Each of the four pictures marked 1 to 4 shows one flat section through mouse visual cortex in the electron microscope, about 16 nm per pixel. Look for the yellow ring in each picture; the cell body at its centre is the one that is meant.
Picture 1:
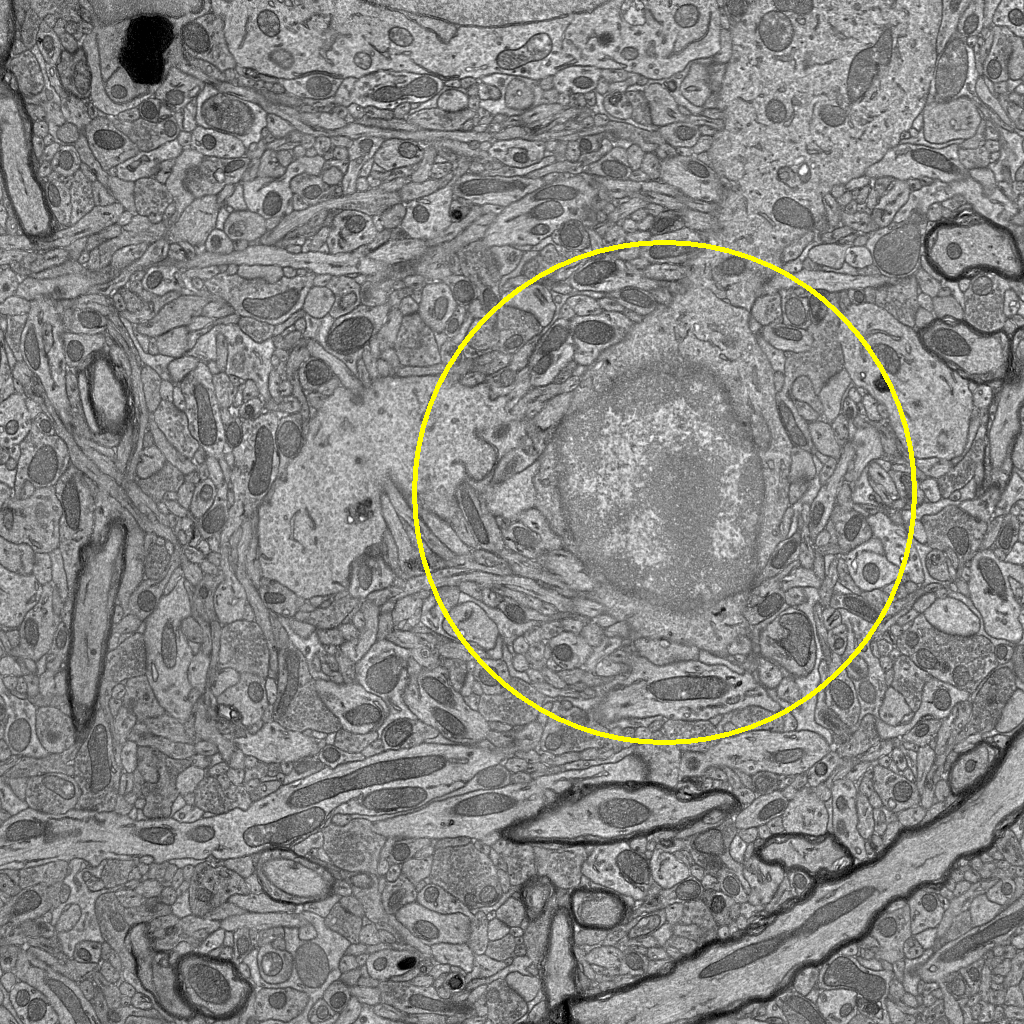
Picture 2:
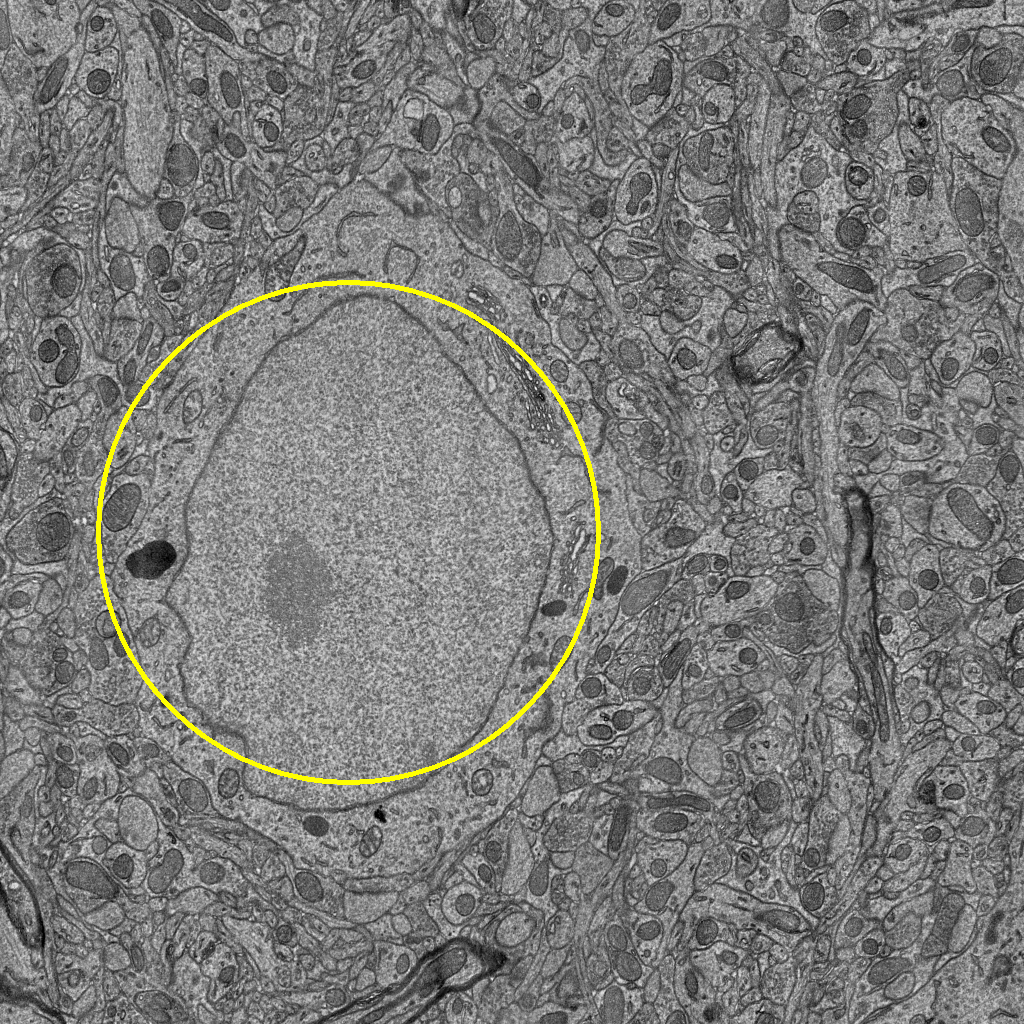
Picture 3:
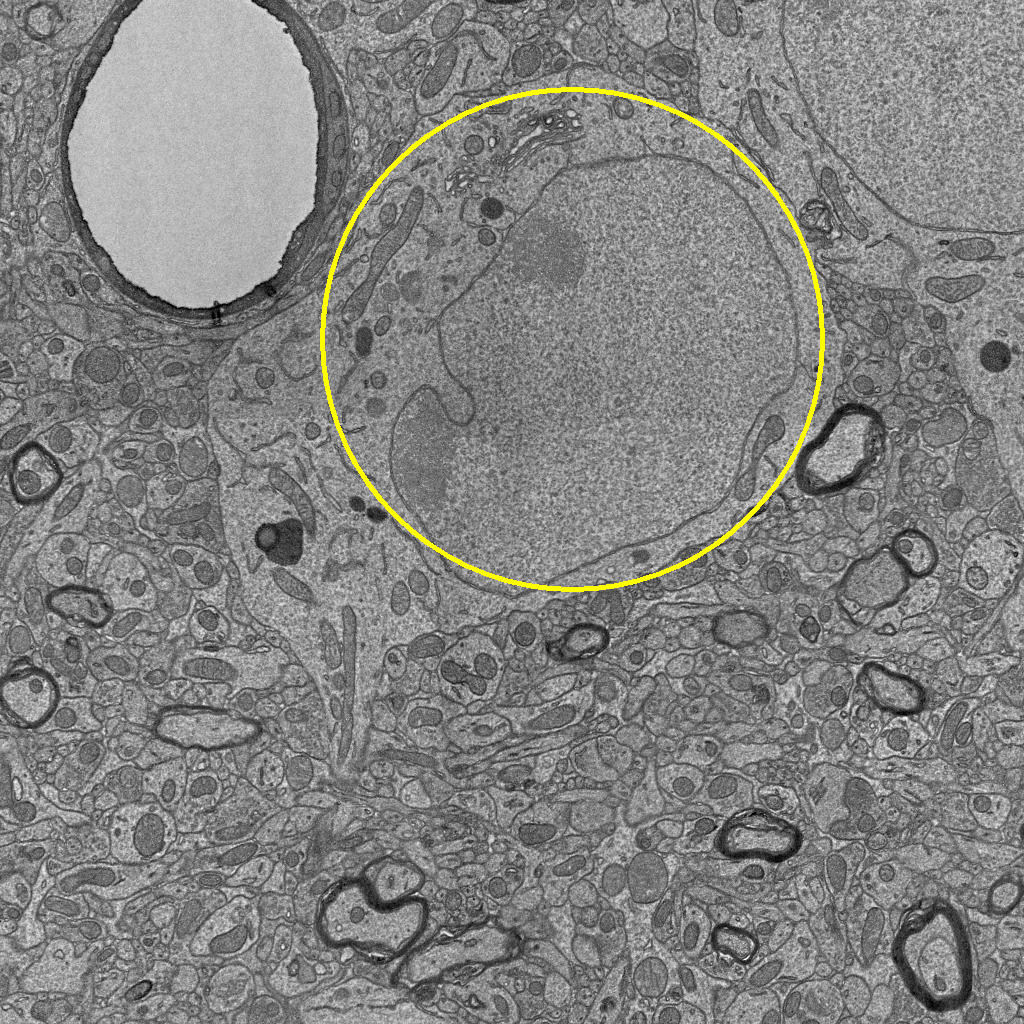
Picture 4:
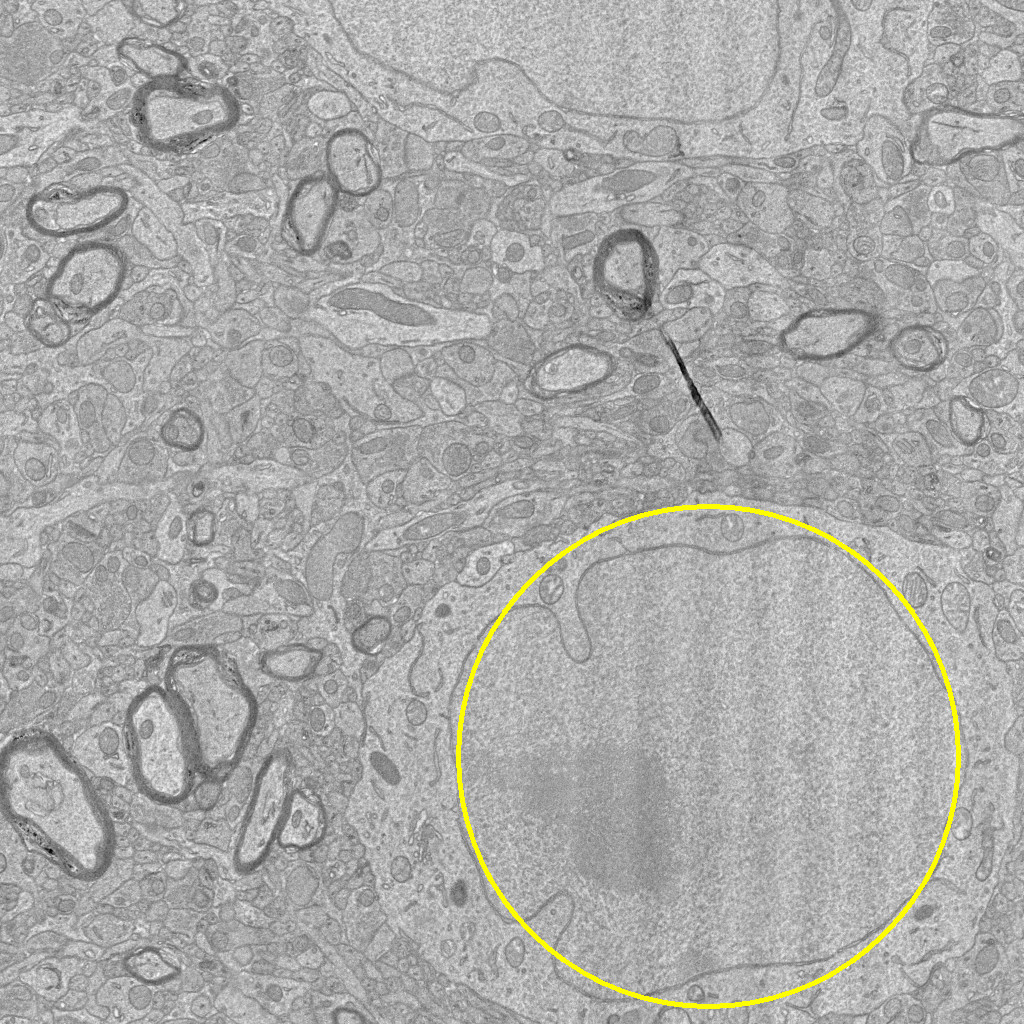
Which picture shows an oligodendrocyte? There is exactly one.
It is picture 1 that shows the oligodendrocyte.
